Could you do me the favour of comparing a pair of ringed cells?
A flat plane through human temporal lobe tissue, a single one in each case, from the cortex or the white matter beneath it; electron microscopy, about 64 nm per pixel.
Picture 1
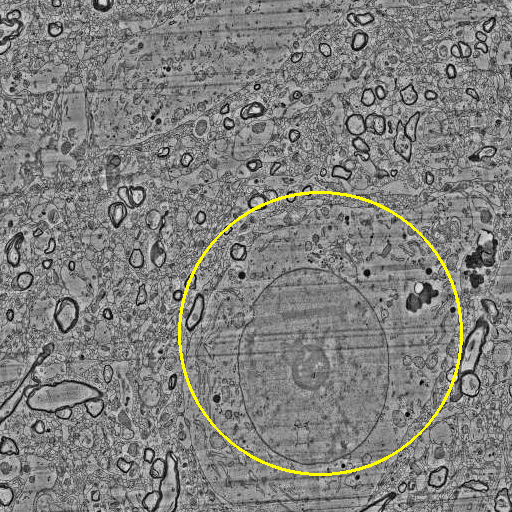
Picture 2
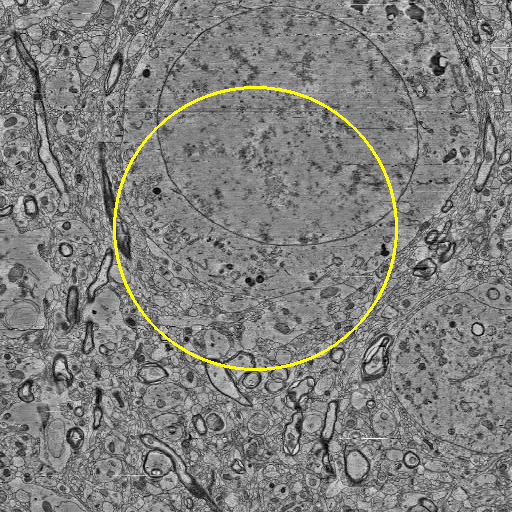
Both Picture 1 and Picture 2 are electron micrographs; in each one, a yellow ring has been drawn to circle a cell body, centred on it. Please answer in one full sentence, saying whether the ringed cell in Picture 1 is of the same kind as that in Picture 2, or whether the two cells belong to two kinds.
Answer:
The ringed cell in Picture 1 is of the same kind as that in Picture 2.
